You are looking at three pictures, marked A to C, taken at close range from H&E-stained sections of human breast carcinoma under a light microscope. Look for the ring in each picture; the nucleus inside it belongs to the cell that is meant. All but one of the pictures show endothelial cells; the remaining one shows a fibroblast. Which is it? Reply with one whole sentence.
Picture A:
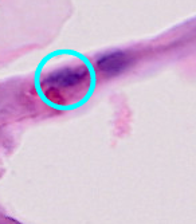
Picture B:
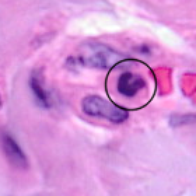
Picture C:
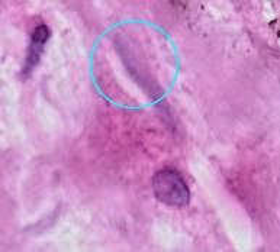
The fibroblast is the one in picture C.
